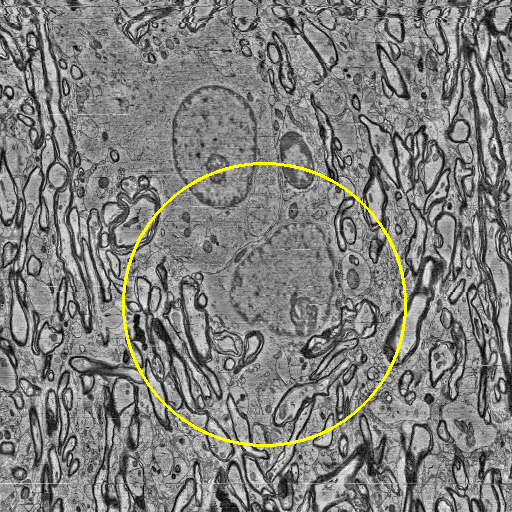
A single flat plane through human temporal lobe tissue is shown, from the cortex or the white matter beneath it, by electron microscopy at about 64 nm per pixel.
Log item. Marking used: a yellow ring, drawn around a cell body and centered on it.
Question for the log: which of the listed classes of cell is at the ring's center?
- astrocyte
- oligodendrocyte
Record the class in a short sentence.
At the center of the ring lies an astrocyte.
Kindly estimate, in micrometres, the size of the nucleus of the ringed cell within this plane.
In this plane, about 8 micrometres in length and 7 in width.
